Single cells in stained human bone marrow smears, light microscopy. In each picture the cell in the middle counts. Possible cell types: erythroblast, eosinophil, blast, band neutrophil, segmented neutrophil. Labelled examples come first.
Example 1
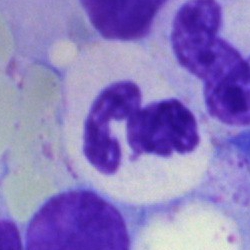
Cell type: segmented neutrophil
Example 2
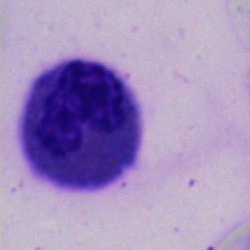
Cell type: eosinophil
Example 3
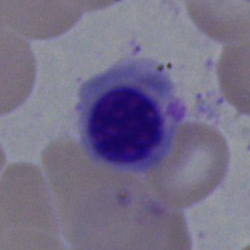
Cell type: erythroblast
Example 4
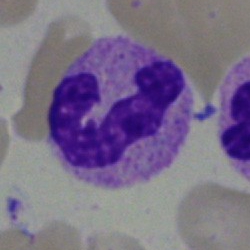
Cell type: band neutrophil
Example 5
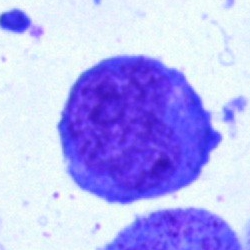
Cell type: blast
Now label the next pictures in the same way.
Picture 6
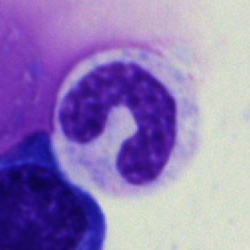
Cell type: band neutrophil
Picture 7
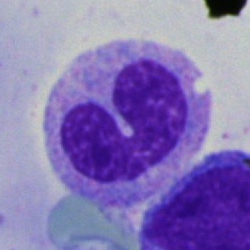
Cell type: band neutrophil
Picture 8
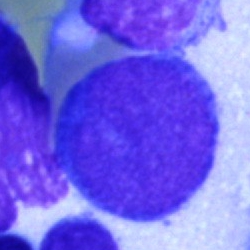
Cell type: blast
